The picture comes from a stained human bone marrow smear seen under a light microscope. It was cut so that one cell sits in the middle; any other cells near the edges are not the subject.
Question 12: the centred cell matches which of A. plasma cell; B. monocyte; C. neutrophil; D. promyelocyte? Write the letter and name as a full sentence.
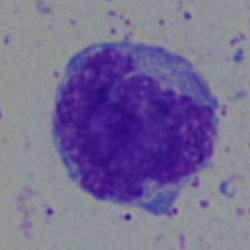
Since the cell in the centre is a monocyte, the correct option is B.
